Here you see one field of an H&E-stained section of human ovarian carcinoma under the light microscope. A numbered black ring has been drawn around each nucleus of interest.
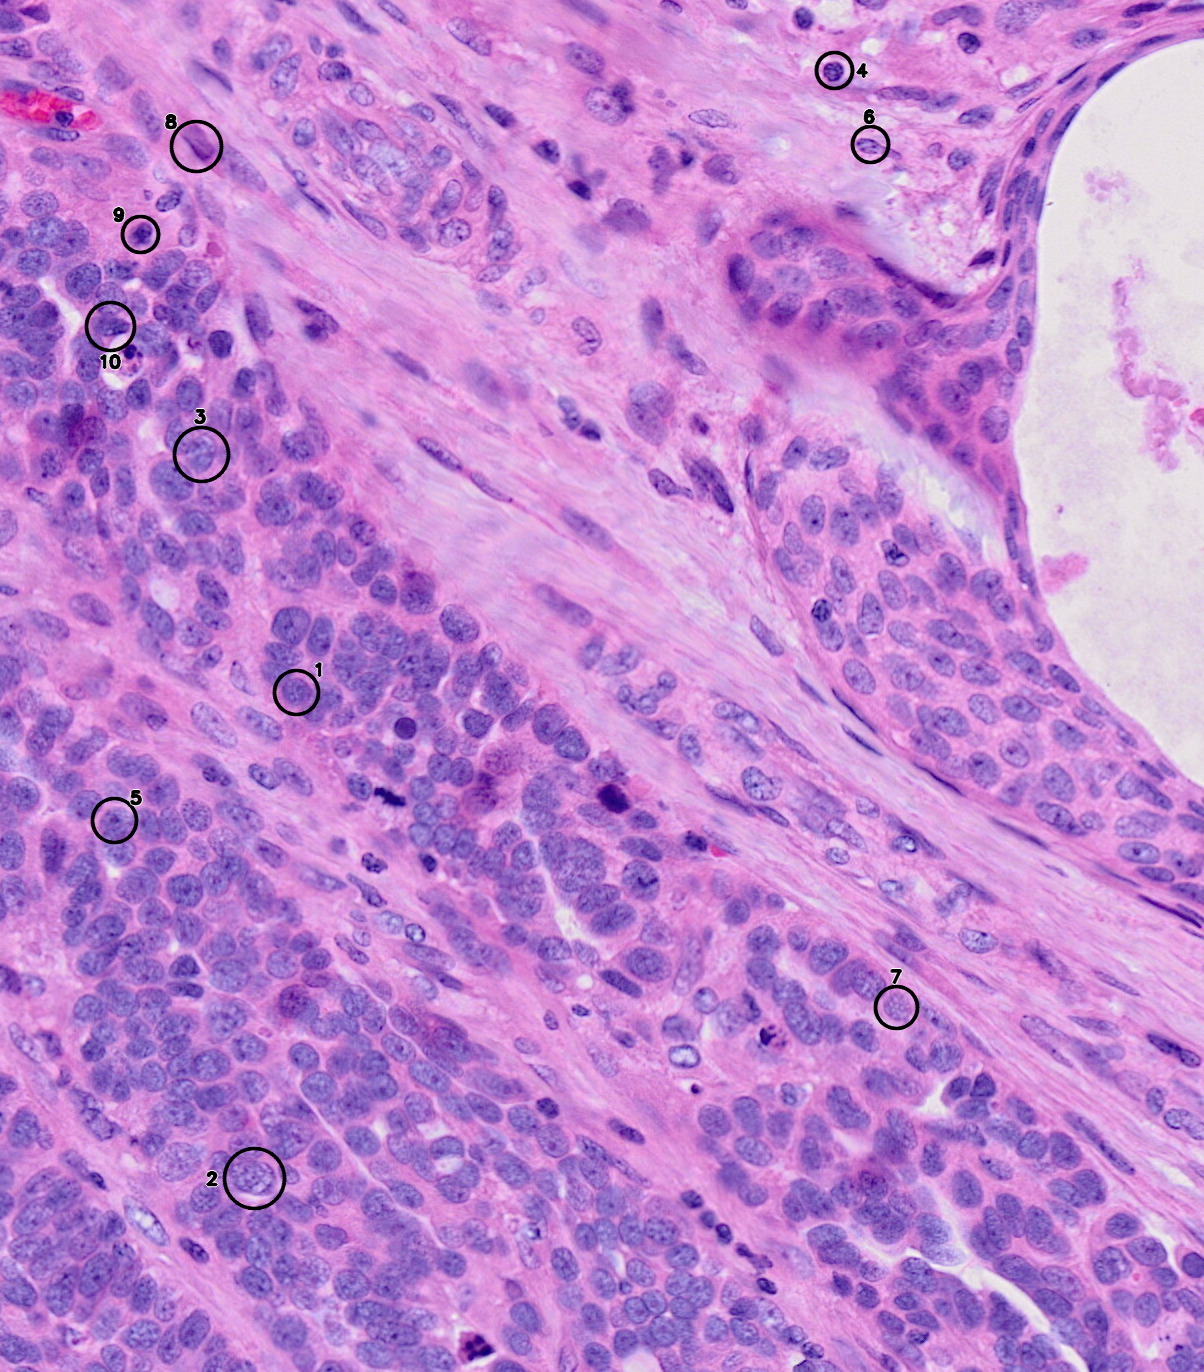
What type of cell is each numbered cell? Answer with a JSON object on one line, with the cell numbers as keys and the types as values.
{"1": "carcinoma cell", "2": "carcinoma cell", "3": "carcinoma cell", "4": "lymphocyte", "5": "carcinoma cell", "6": "macrophage or monocyte", "7": "carcinoma cell", "8": "fibroblast", "9": "lymphocyte", "10": "carcinoma cell"}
